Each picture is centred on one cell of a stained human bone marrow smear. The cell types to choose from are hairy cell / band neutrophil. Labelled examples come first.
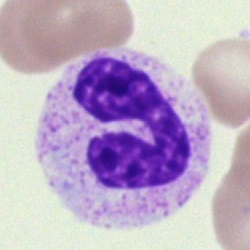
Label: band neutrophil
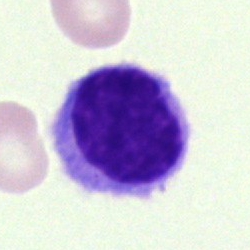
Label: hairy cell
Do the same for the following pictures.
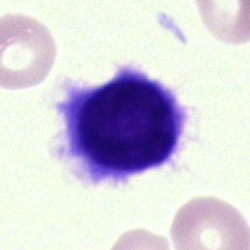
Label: hairy cell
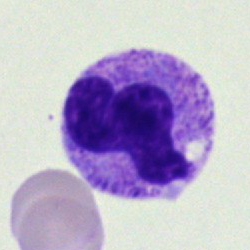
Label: band neutrophil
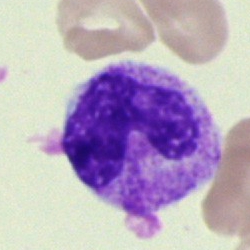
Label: band neutrophil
